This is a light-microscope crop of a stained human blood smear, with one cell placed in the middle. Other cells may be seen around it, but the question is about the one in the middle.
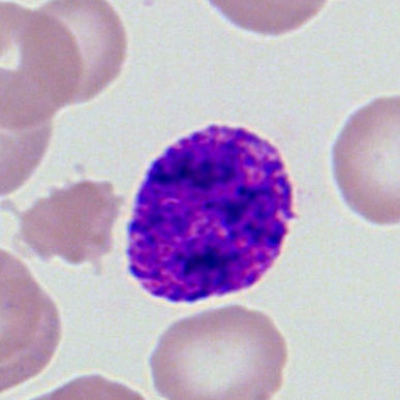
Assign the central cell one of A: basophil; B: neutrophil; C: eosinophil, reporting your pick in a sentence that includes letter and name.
The correct option is A, as the central cell is a basophil.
